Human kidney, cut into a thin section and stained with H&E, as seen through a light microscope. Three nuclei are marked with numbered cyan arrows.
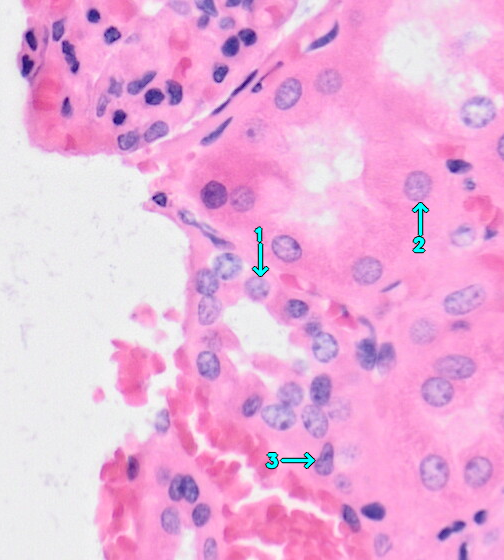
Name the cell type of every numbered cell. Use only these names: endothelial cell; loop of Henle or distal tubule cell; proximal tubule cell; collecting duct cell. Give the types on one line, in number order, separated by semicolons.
collecting duct cell; proximal tubule cell; collecting duct cell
